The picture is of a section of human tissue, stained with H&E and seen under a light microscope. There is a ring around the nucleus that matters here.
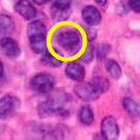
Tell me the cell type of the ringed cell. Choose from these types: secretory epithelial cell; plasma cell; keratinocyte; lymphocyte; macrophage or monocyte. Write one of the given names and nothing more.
lymphocyte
